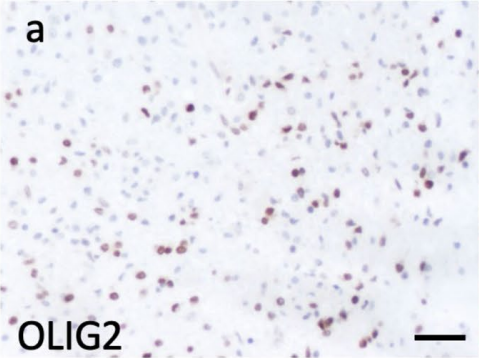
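Brain tissue in which many small, round to oval nuclei are stained brown while the rest of the nuclei are pale blue. The brown stain is confined to the nuclei and the cytoplasm and background stay unstained. The stained nuclei are scattered fairly evenly and in places lie in small clusters or short rows. These small uniform nuclei belong to oligodendroglia spread through the tissue.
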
